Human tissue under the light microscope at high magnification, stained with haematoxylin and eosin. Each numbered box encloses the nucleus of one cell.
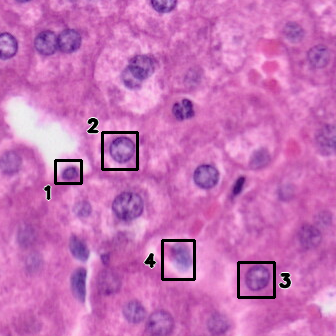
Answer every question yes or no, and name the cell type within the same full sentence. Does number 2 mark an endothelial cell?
No, the cell given the number 2 is a hepatocyte, so not an endothelial cell.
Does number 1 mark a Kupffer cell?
Yes, on this slide, the cell with number 1 is a Kupffer cell.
